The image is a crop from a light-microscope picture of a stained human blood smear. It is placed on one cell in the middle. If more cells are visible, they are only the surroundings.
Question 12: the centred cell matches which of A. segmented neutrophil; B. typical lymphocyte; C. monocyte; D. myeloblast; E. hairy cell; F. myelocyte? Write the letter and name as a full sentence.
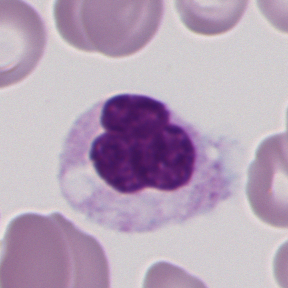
The one to choose is option A, as the cell in the middle is a segmented neutrophil.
